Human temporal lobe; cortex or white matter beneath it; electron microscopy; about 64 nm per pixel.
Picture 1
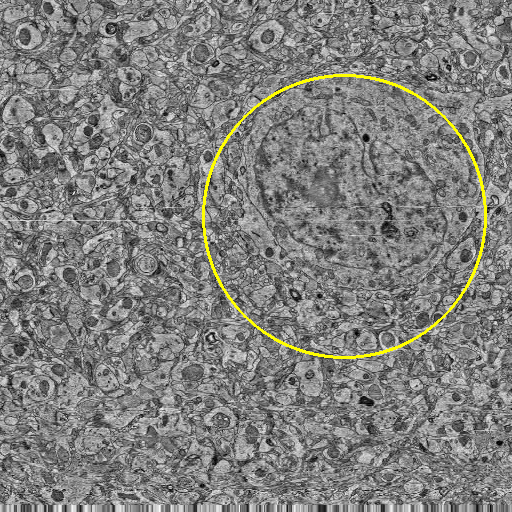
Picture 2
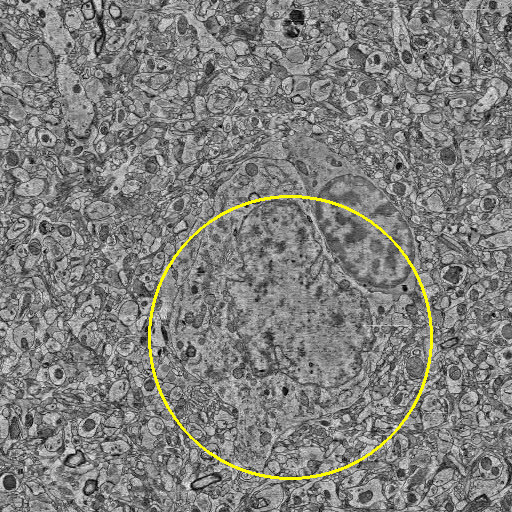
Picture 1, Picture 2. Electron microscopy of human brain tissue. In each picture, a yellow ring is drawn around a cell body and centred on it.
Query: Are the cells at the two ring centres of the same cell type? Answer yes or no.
yes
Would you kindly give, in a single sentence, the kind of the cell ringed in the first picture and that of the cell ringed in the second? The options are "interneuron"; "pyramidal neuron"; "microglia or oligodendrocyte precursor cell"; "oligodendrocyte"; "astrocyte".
Each one of the two ringed cells is an interneuron.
